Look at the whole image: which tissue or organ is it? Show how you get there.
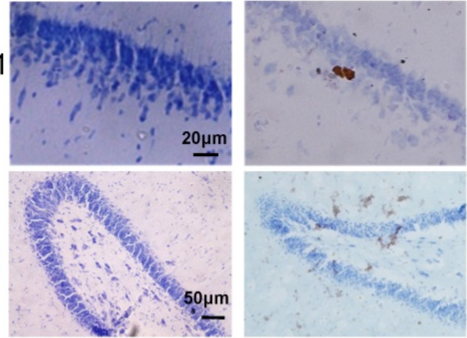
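Densely packed cell layers stained blue-violet. One layer forms a curved, V-shaped band of small tightly packed cells. Another layer is a band of larger, tapering cell bodies. On this evidence: hippocampus.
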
